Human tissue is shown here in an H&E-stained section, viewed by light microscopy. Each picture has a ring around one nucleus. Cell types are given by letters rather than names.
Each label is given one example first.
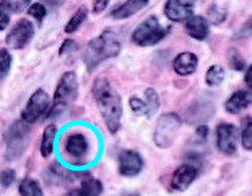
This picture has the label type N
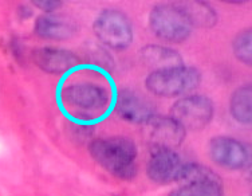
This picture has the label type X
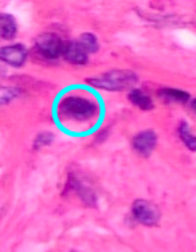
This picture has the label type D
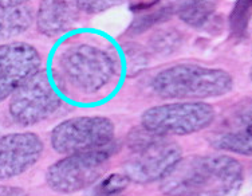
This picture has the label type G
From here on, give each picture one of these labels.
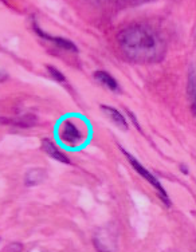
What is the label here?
type N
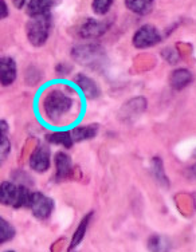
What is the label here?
type N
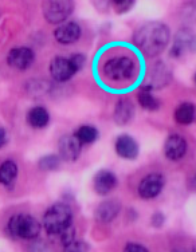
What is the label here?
type D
